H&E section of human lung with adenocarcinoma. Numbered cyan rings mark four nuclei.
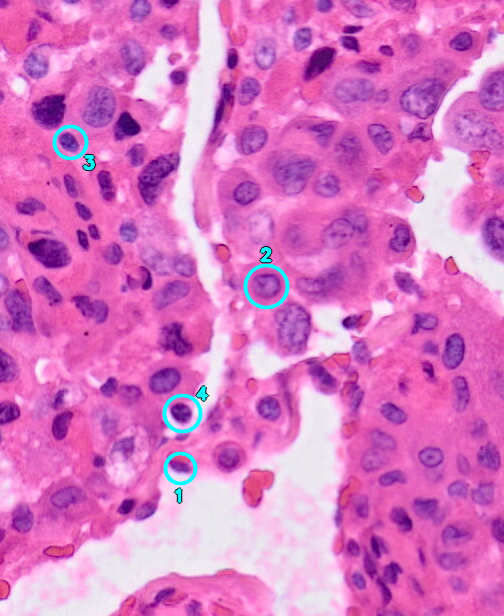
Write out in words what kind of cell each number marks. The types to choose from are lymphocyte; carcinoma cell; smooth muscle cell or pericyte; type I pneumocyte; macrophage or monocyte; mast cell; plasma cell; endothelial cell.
Cell 1 is an endothelial cell, cell 2 is a macrophage or monocyte, cell 3 is a lymphocyte and cell 4 is a lymphocyte.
